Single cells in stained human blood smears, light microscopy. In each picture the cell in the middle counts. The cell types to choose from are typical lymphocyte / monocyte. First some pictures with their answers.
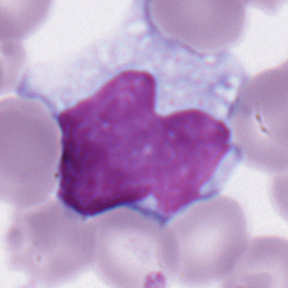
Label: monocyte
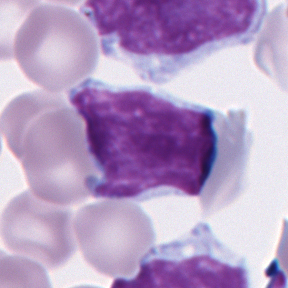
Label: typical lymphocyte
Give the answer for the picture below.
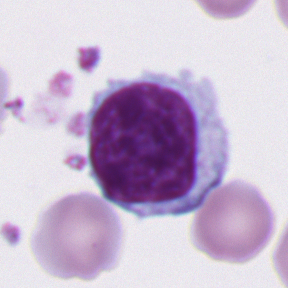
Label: typical lymphocyte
